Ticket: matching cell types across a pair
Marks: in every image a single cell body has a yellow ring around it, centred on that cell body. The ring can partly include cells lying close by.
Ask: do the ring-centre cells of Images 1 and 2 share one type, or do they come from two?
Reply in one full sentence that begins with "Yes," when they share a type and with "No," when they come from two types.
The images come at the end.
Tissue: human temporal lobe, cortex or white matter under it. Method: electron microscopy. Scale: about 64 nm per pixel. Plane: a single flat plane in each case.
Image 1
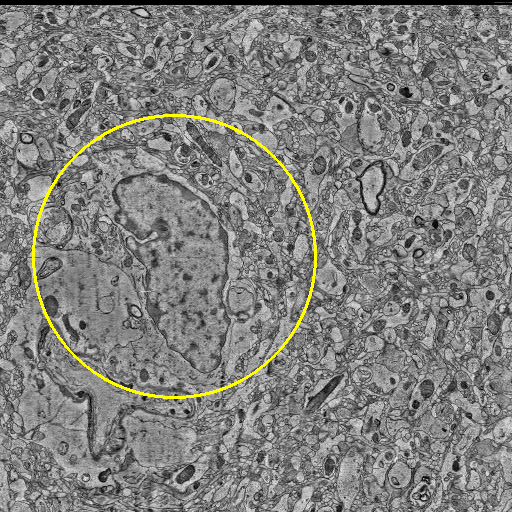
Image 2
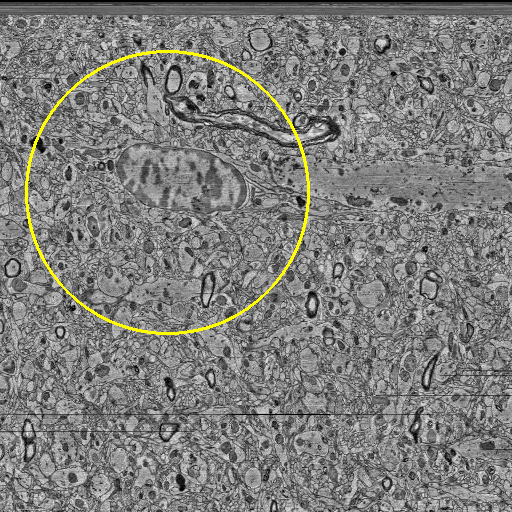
Yes, the cells in the centres of the rings in Image 1 and Image 2 share one type.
